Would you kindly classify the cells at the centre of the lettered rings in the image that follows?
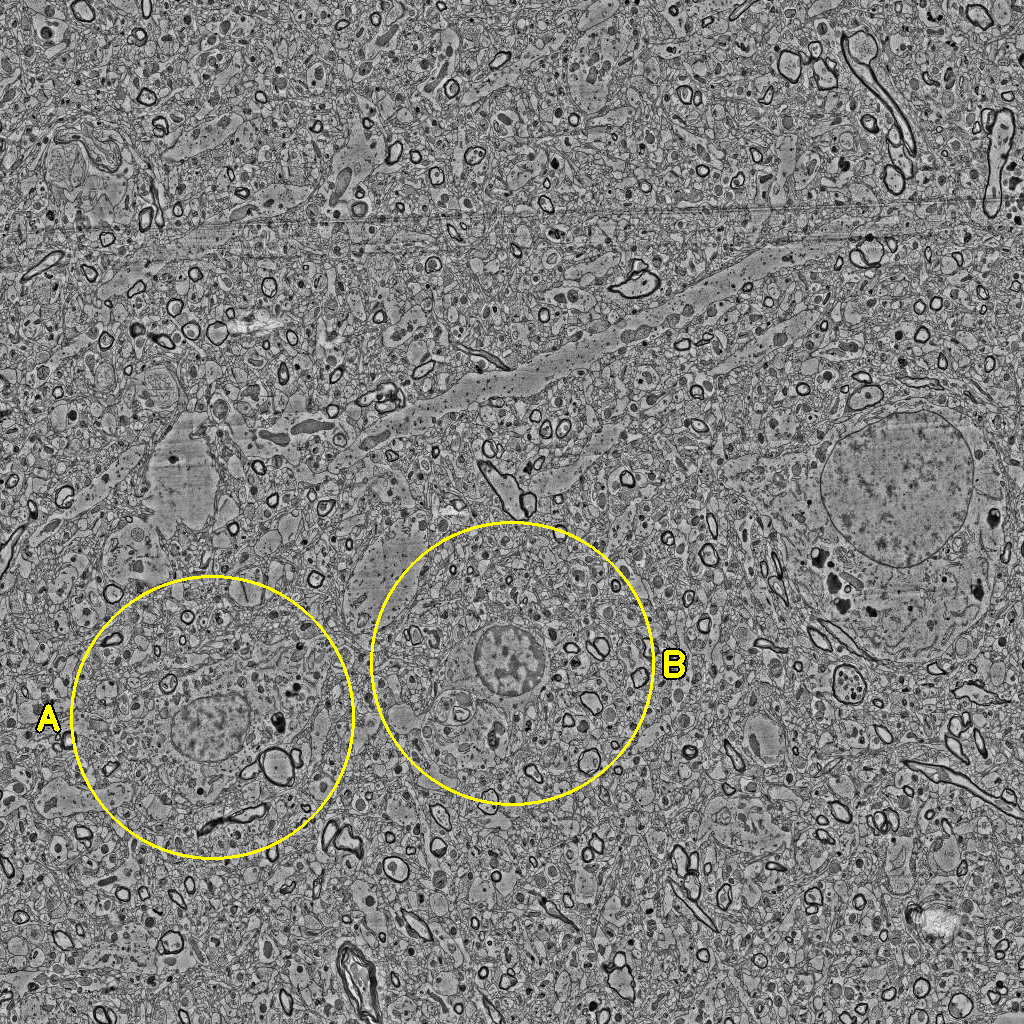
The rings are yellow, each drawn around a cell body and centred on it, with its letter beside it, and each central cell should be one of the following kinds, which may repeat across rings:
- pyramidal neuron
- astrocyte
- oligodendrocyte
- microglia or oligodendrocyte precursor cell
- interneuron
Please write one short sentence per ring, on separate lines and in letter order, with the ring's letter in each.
The kind of cell at the centre of ring A is an interneuron.
The kind of cell at the centre of ring B is an oligodendrocyte.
